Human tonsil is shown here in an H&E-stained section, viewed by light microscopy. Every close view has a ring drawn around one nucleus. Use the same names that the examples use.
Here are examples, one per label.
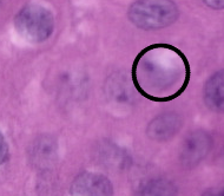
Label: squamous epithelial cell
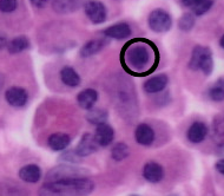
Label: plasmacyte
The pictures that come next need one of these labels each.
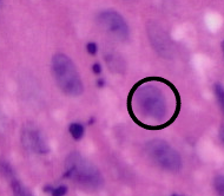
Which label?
squamous epithelial cell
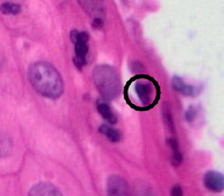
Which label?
squamous epithelial cell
